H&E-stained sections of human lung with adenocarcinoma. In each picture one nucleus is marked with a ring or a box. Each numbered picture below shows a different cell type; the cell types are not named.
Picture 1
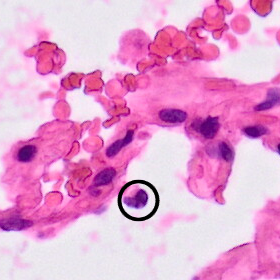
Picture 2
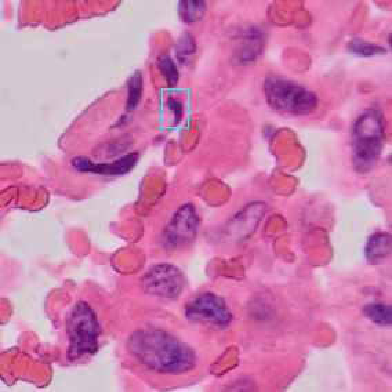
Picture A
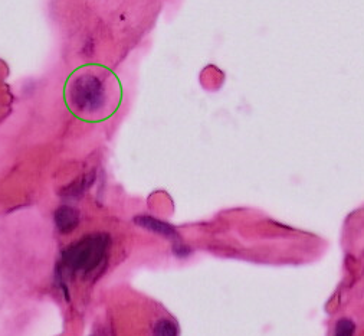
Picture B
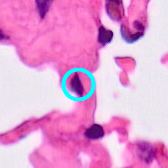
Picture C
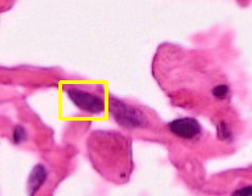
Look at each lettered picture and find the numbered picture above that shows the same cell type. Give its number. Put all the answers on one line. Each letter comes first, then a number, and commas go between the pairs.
A 1, B 2, C 1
